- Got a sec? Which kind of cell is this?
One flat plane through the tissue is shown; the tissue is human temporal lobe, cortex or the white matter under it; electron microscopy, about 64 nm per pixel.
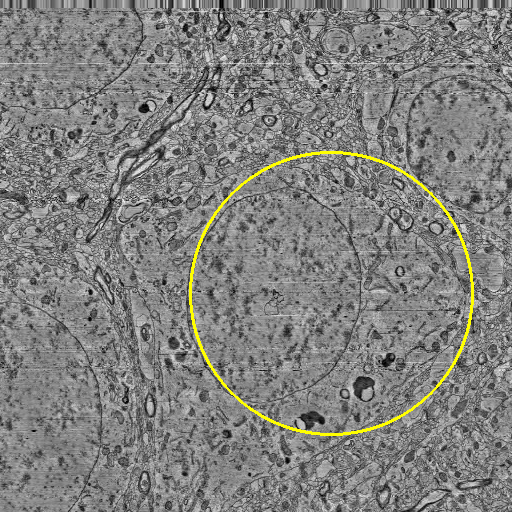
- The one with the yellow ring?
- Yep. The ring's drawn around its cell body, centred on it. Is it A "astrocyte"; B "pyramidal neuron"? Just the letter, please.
B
